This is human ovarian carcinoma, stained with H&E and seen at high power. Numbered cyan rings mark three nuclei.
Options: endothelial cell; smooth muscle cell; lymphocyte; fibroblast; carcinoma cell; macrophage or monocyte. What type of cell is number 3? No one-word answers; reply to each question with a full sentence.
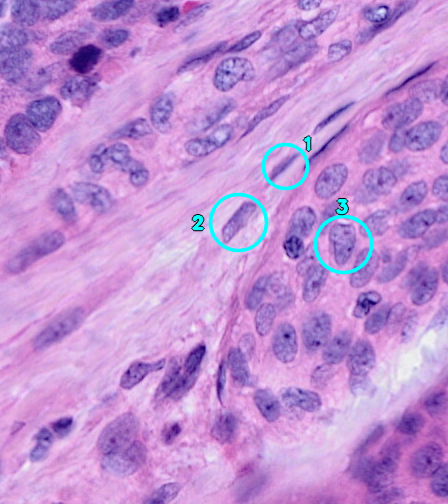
In this section, the cell tagged 3 is a carcinoma cell.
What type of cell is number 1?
The correct answer for cell 1 is a fibroblast.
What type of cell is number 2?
The cell indicated by marker 2 is a fibroblast in this section.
